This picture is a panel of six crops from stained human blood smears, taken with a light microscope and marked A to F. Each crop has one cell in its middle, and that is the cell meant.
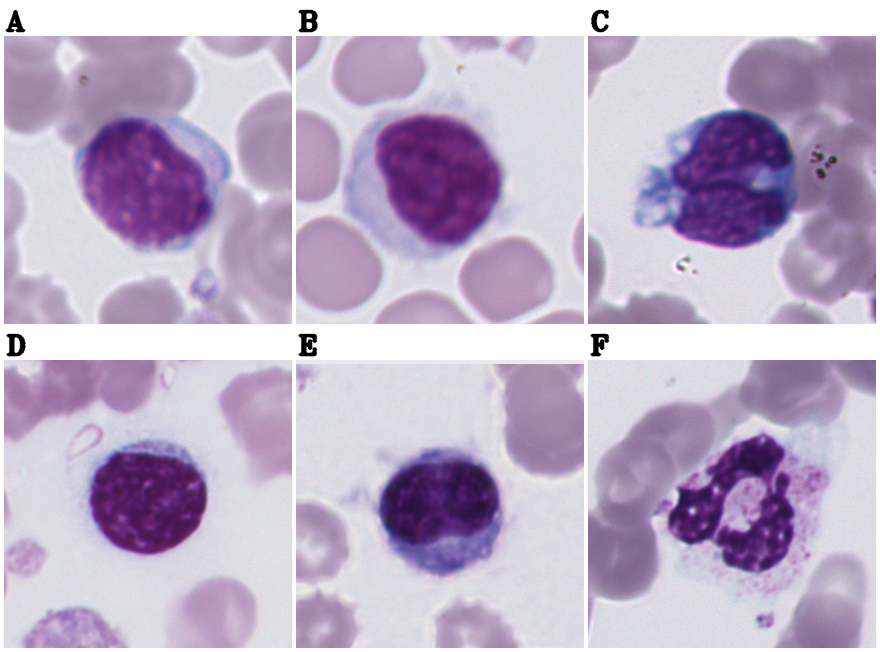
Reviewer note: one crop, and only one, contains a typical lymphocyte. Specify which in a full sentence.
Of the labeled crops, the one with a typical lymphocyte is crop D.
